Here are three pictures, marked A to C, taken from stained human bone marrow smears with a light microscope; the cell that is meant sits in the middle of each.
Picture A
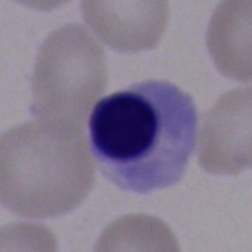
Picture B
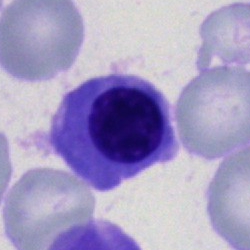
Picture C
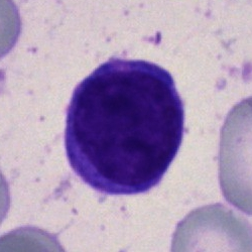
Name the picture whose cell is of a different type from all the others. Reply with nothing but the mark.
C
